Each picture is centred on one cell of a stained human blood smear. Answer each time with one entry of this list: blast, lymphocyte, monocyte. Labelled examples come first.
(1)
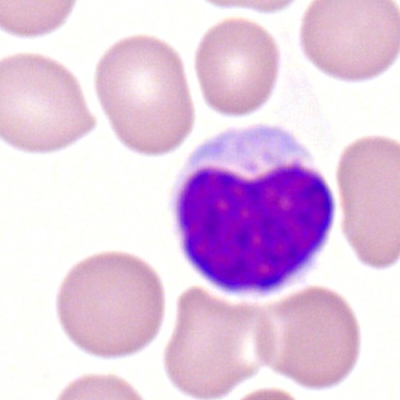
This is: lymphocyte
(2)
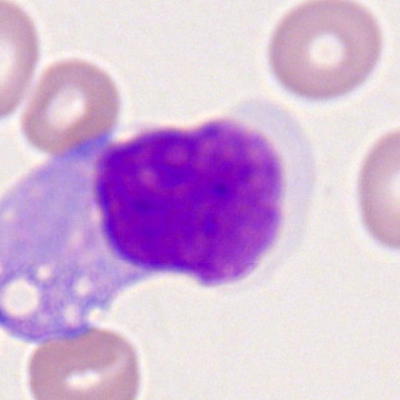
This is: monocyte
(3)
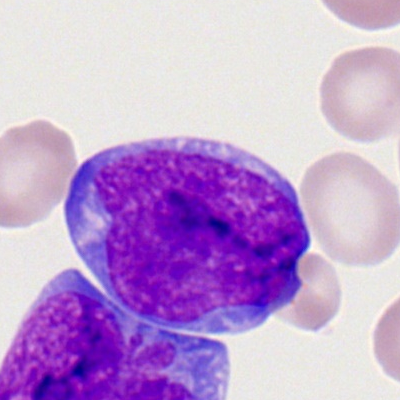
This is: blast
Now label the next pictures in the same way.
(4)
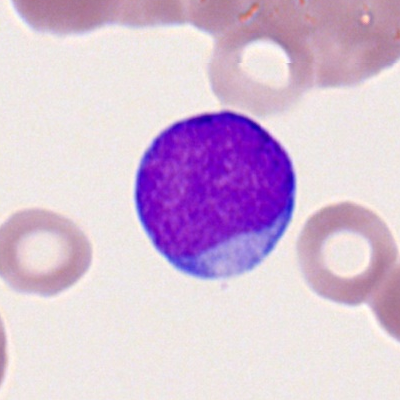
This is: blast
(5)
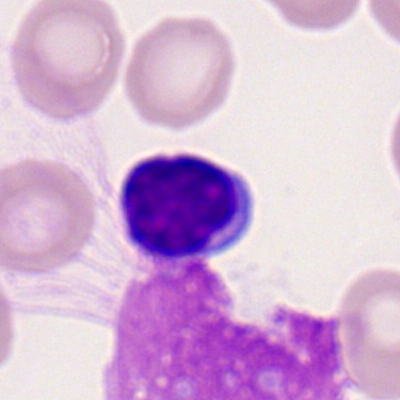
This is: lymphocyte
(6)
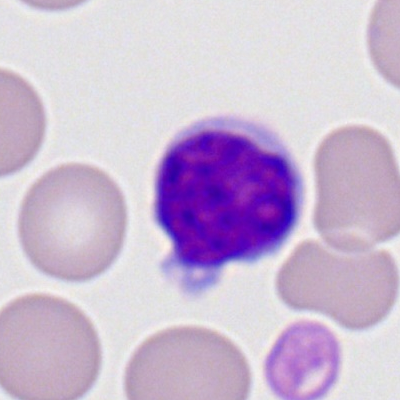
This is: lymphocyte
